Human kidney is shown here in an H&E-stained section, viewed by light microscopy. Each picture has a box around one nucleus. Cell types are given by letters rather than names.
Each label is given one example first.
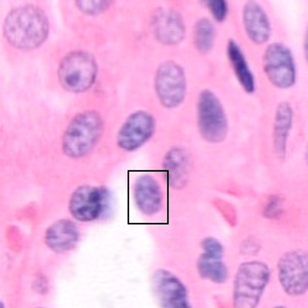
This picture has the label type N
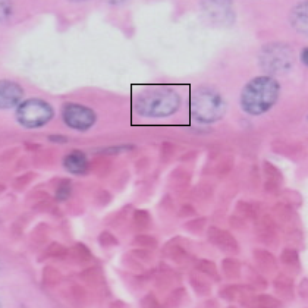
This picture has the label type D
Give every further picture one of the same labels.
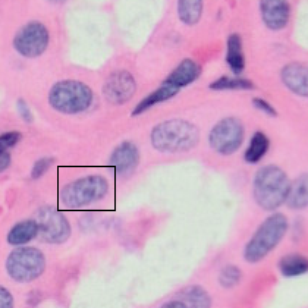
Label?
type D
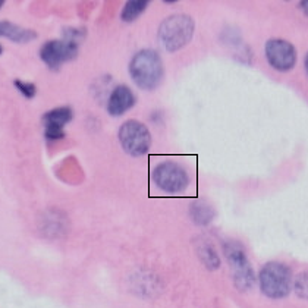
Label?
type D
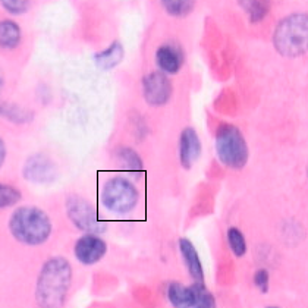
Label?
type D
